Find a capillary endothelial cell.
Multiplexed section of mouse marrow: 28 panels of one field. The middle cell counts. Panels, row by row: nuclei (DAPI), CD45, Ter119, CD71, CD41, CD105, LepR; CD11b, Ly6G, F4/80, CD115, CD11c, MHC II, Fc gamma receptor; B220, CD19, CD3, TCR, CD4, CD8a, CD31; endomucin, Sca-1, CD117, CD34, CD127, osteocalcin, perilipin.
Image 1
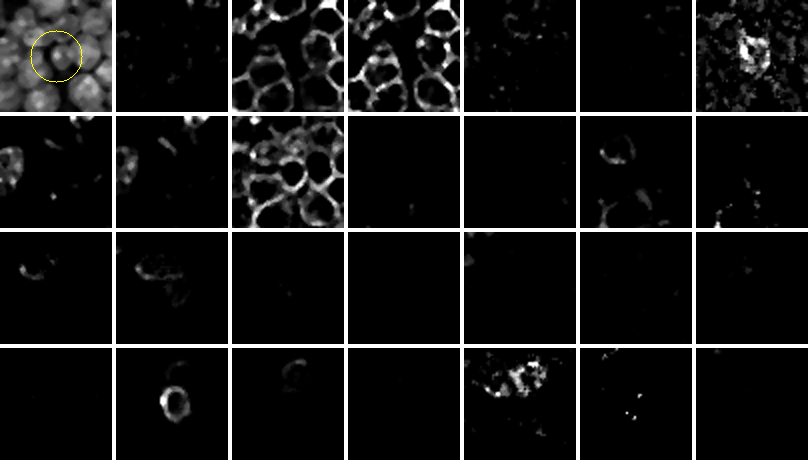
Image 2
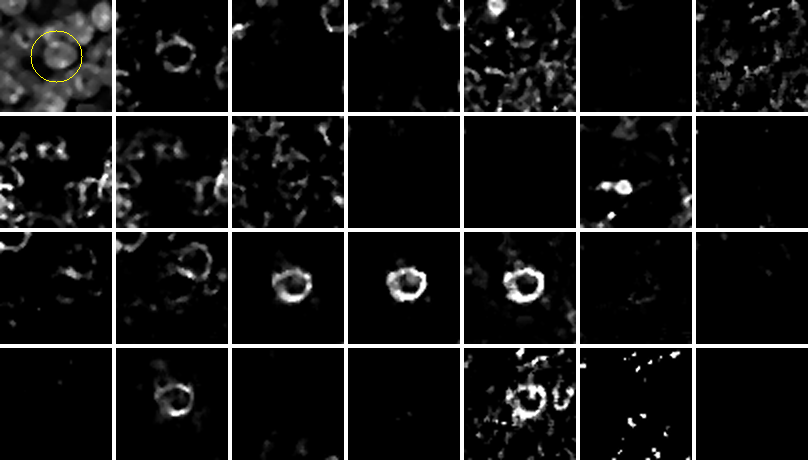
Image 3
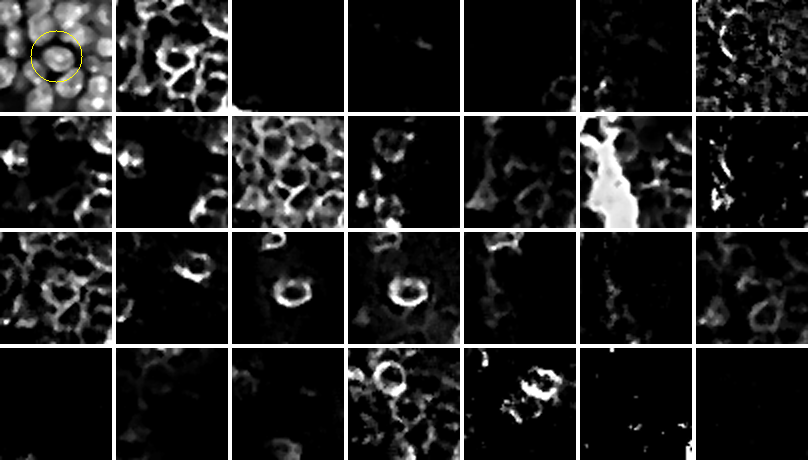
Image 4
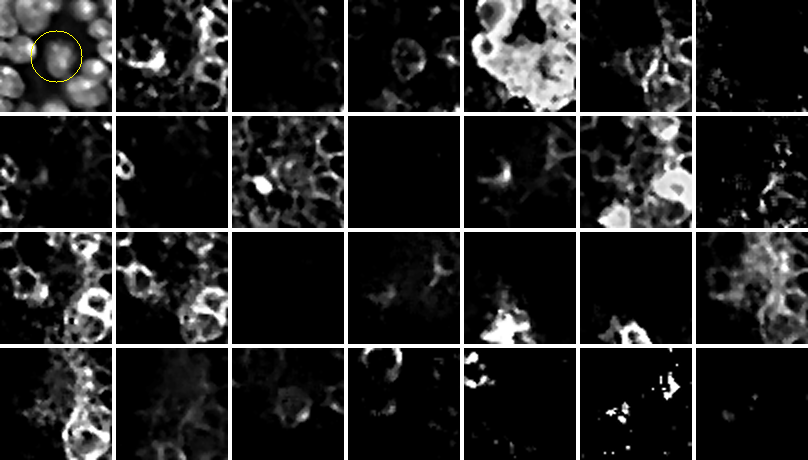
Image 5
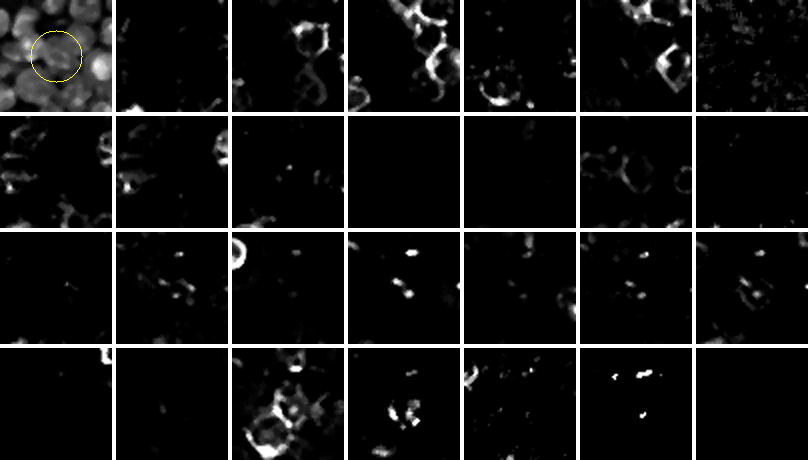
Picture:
4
